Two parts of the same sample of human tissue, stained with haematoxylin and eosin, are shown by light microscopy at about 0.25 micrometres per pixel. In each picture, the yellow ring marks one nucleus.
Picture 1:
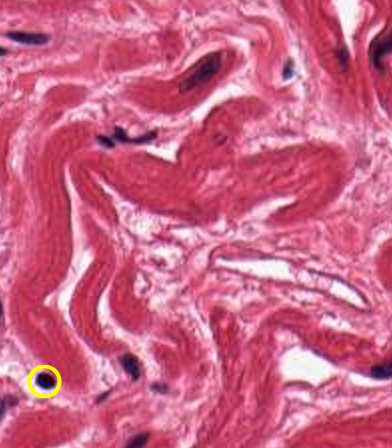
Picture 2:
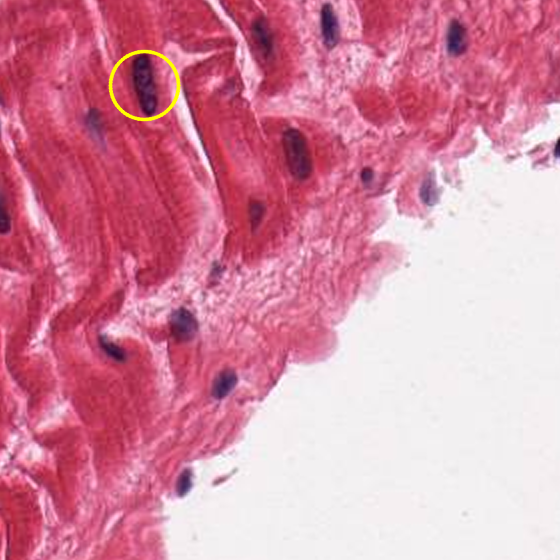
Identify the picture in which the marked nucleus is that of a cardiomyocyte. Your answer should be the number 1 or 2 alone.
2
